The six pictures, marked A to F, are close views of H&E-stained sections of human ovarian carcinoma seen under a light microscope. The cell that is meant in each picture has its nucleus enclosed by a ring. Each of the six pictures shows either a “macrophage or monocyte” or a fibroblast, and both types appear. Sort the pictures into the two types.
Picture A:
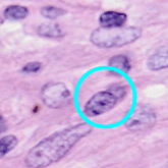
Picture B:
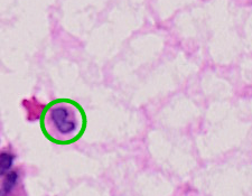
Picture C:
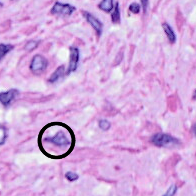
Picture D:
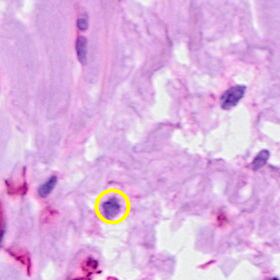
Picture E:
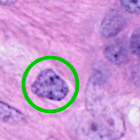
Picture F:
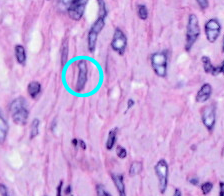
A: macrophage or monocyte
B: macrophage or monocyte
C: fibroblast
D: macrophage or monocyte
E: macrophage or monocyte
F: fibroblast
